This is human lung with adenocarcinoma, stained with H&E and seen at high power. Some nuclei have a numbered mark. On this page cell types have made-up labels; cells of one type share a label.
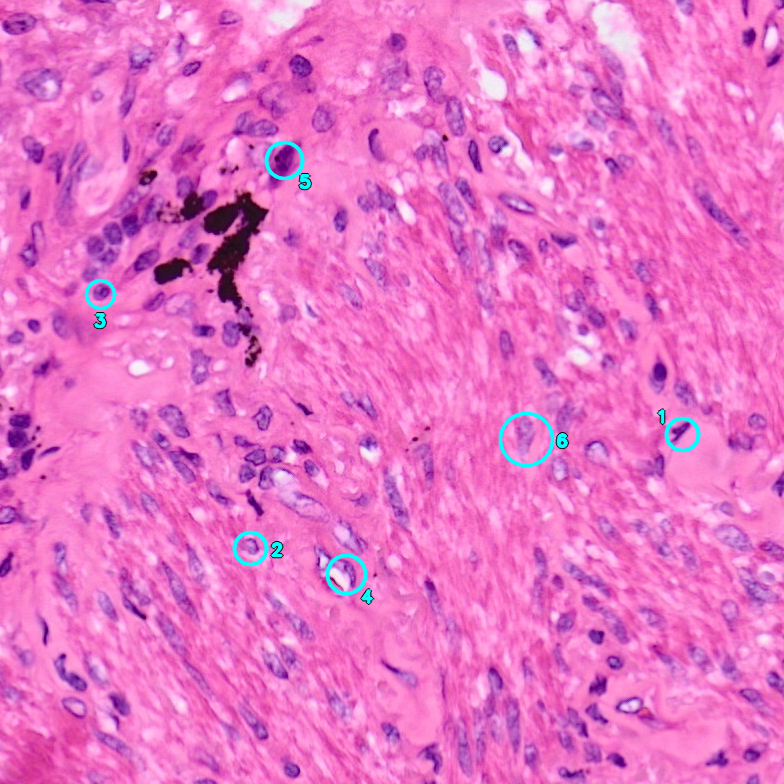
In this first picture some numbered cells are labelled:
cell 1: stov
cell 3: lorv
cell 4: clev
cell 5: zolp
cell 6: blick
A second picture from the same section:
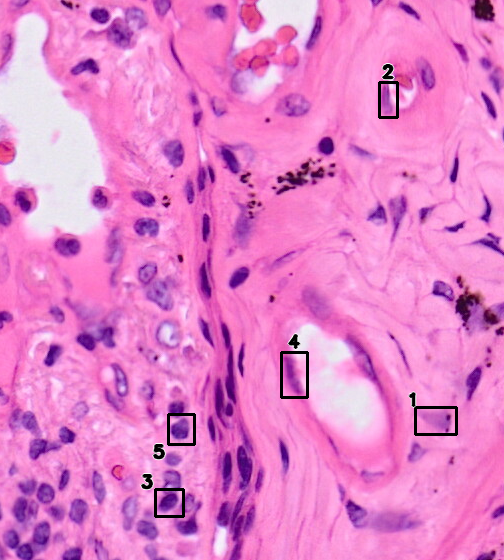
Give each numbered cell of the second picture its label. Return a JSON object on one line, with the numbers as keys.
{"1": "stov", "2": "clev", "3": "lorv", "4": "clev", "5": "lorv"}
